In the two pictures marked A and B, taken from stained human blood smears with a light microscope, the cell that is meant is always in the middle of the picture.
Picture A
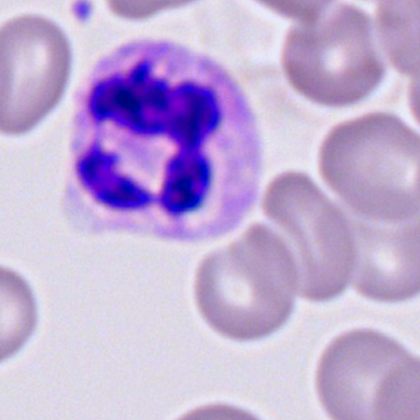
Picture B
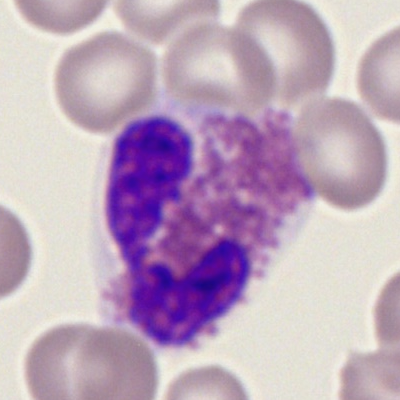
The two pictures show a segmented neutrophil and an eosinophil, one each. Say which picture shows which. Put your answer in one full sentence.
Picture A shows a segmented neutrophil and picture B shows an eosinophil.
